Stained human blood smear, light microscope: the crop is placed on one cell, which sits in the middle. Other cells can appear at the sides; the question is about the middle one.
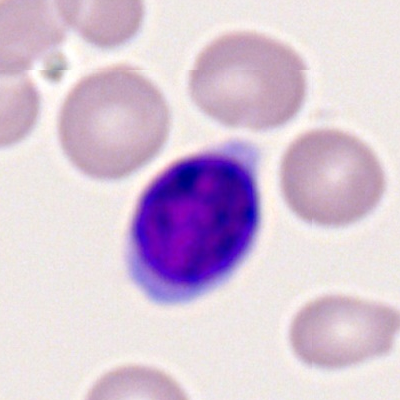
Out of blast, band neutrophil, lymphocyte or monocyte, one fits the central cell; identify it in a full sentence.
In the middle of this smear crop, the cell is a lymphocyte.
